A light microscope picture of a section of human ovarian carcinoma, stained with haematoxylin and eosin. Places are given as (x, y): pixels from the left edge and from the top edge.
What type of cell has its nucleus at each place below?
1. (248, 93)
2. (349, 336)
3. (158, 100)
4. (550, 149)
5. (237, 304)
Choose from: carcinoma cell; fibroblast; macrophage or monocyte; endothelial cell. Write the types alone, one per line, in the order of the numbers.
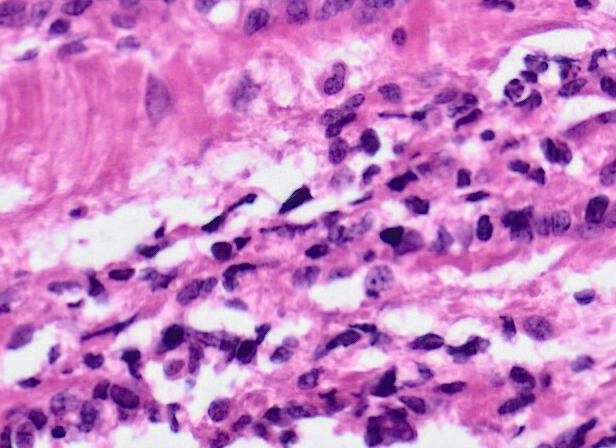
fibroblast
carcinoma cell
fibroblast
carcinoma cell
macrophage or monocyte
